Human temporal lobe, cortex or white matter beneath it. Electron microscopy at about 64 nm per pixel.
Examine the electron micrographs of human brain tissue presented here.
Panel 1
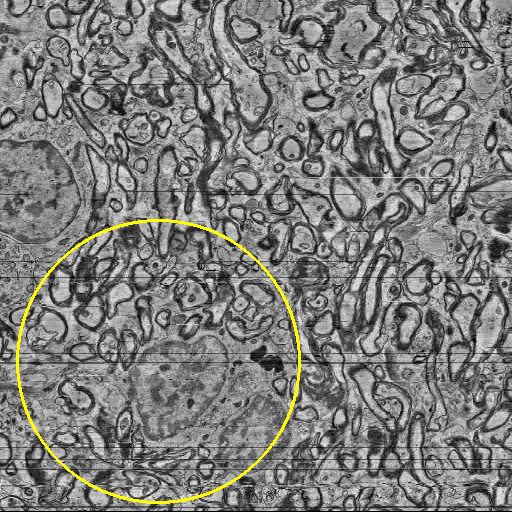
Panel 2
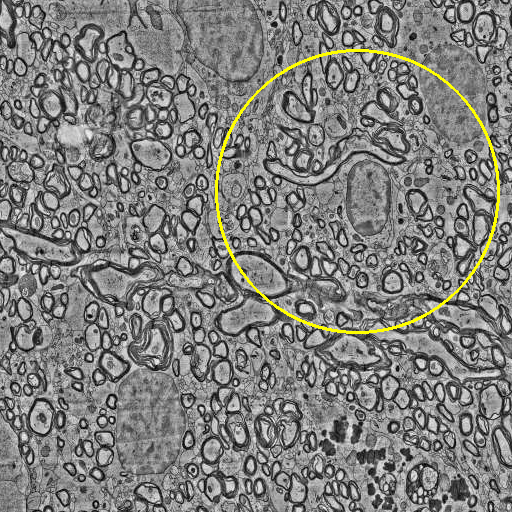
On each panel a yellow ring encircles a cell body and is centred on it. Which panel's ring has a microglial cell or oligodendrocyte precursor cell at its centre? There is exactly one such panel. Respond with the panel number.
2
